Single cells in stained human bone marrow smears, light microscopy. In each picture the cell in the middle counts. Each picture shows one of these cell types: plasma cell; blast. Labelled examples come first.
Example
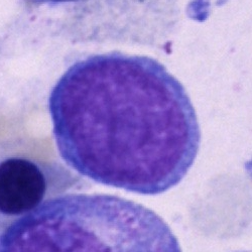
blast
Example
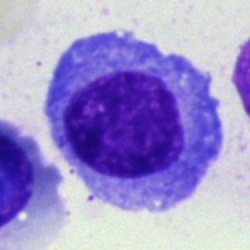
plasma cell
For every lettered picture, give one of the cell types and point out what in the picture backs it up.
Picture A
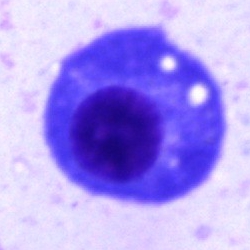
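plasma cell. The cytoplasm is abundant and stains a deep blue.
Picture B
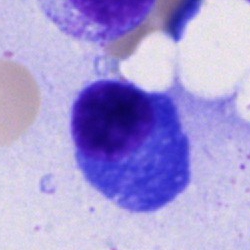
plasma cell. The cytoplasm is plentiful and spreads mainly to the lower right of the nucleus.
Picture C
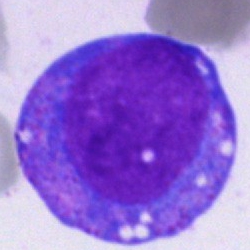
blast. The chromatin is finely granular rather than coarsely clumped.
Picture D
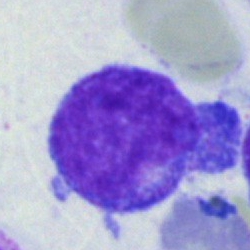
blast. The nucleus fills almost the whole cell, leaving at most a very thin rim of cytoplasm.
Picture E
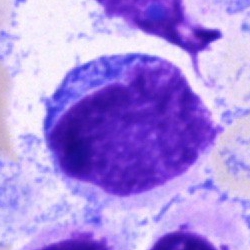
blast. The nucleus fills most of the cell.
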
